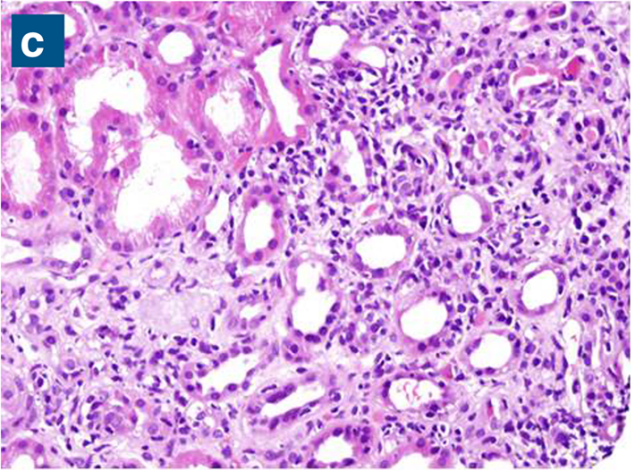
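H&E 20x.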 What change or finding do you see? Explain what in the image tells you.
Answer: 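A dense cellular infiltrate of small dark nuclei fills the interstitium between tubules. Tubules are pushed apart by the infiltrate. The answer: Tubulointerstitial inflammation.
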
